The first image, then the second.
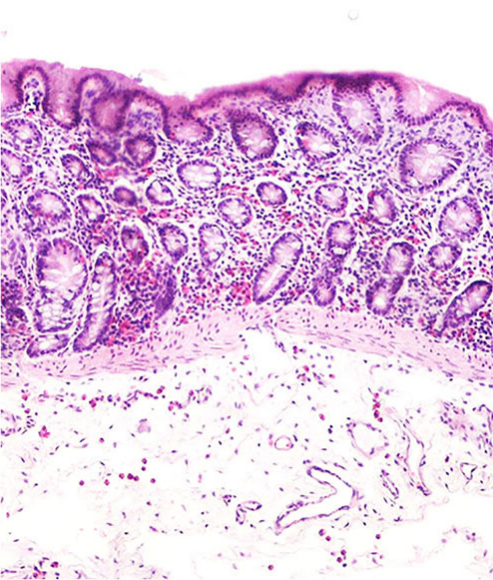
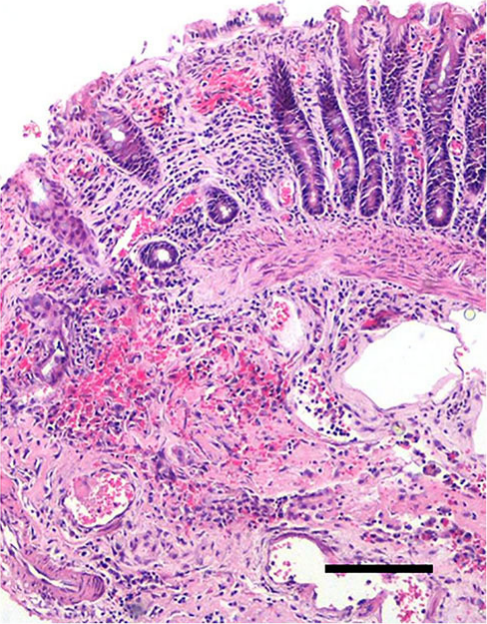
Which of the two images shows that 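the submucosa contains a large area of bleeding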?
The second image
